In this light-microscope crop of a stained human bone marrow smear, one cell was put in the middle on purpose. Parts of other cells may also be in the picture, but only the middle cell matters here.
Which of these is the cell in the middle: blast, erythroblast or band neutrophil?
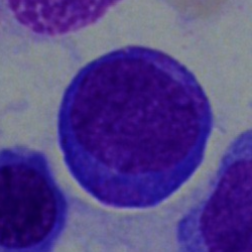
blast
